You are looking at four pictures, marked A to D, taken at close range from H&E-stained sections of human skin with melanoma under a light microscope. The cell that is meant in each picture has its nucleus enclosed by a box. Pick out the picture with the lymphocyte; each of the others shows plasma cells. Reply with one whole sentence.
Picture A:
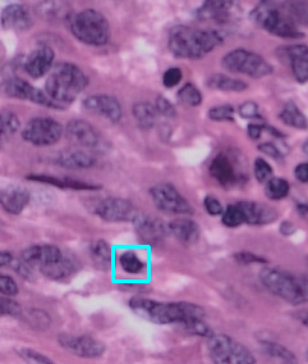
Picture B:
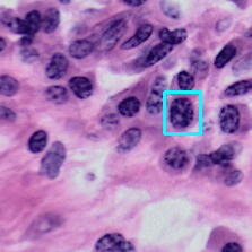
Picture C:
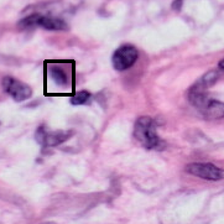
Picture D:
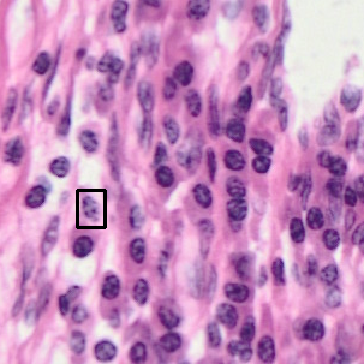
It is picture A that shows the lymphocyte.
